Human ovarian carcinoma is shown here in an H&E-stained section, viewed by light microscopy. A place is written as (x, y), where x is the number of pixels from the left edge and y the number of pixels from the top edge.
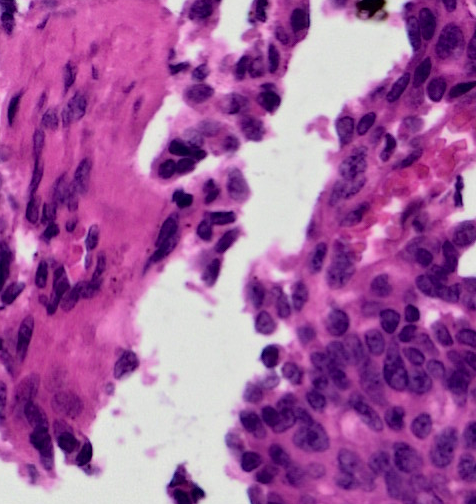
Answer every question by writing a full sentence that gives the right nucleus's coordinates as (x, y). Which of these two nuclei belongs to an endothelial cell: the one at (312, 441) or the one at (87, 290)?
The nucleus that sits at (87, 290) is the nucleus of an endothelial cell.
